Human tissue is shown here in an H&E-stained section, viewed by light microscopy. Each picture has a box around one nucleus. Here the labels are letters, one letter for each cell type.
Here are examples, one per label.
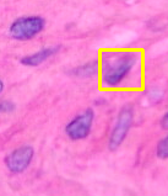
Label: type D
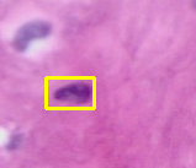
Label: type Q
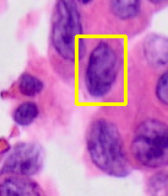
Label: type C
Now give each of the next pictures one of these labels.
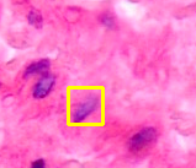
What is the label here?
type D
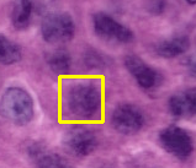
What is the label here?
type Q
